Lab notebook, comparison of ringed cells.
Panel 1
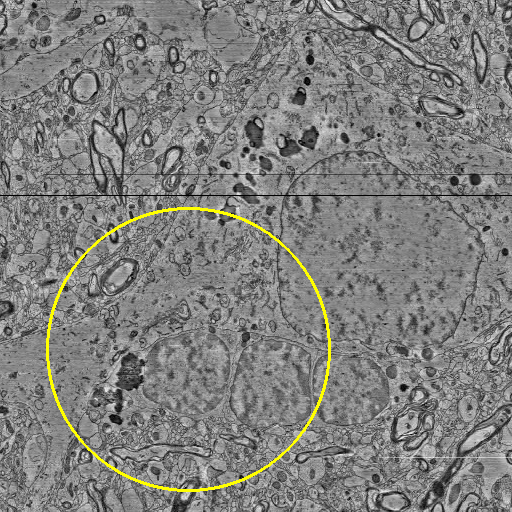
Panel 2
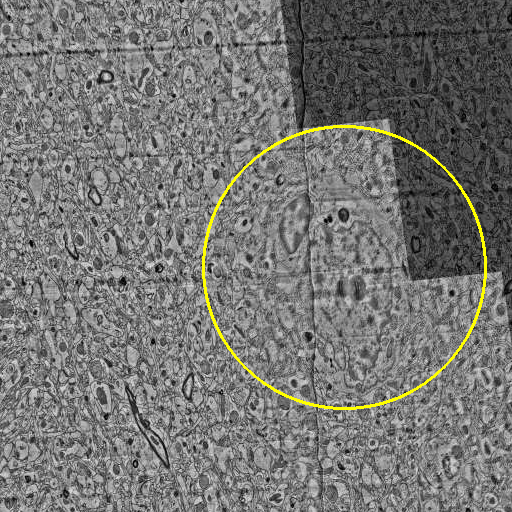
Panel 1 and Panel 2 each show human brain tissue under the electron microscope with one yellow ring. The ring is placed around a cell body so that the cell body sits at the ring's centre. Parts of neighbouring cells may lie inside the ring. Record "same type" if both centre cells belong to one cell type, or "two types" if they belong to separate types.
two types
